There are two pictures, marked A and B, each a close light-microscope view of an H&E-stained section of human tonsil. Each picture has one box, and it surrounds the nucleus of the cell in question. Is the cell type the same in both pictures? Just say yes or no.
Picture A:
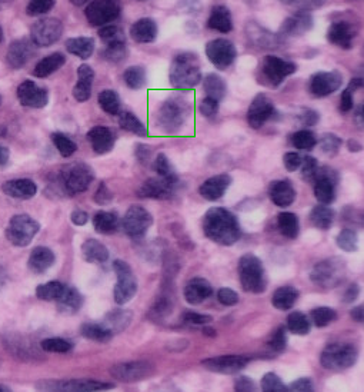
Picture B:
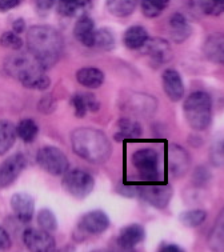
no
